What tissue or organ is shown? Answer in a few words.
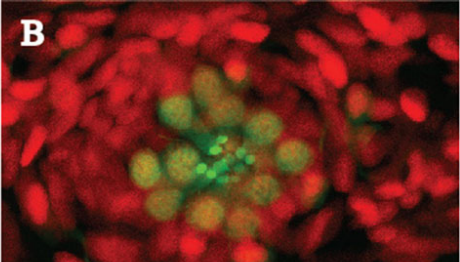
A: Neuromast.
